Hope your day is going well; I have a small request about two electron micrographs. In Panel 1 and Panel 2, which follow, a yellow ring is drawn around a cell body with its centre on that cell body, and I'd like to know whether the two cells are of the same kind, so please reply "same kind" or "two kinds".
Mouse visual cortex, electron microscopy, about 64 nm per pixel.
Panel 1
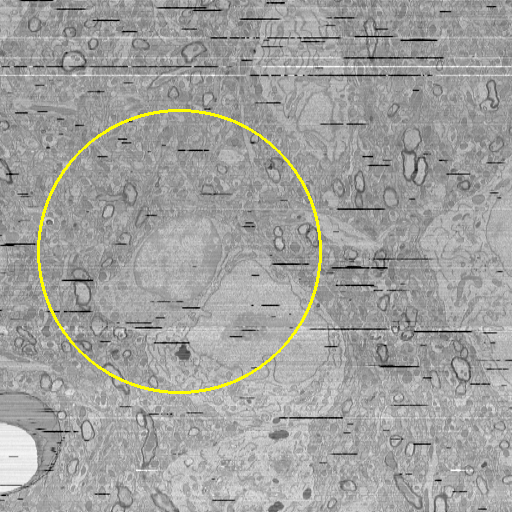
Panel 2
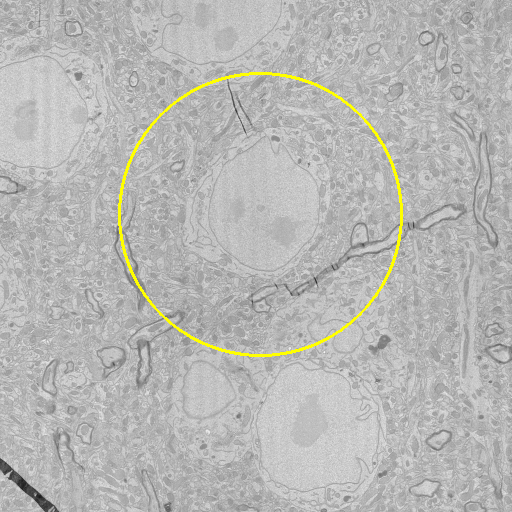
two kinds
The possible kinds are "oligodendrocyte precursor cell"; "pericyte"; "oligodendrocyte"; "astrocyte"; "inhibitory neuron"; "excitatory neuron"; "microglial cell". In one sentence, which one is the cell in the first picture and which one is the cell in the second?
The cell ringed in the second picture is an excitatory neuron, whereas the one ringed in the first is an oligodendrocyte.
